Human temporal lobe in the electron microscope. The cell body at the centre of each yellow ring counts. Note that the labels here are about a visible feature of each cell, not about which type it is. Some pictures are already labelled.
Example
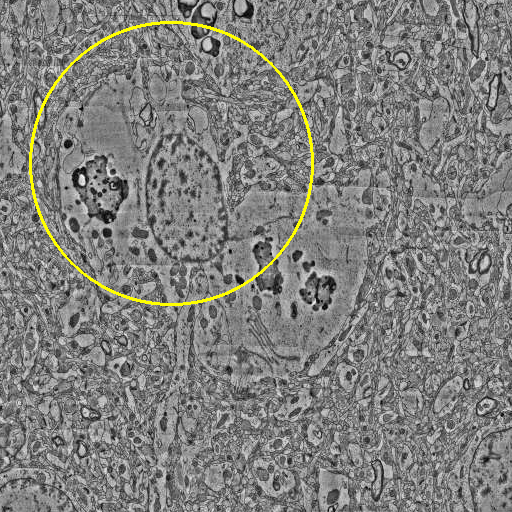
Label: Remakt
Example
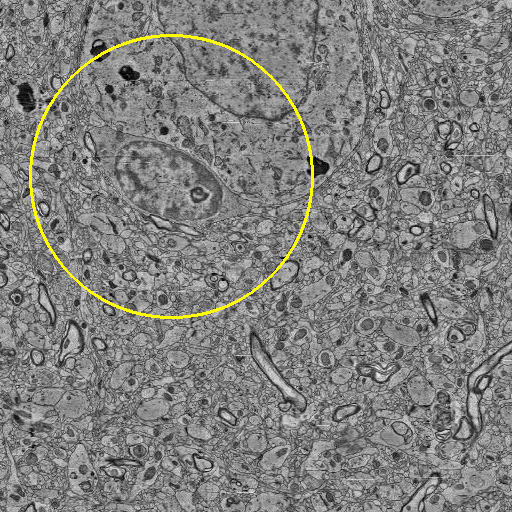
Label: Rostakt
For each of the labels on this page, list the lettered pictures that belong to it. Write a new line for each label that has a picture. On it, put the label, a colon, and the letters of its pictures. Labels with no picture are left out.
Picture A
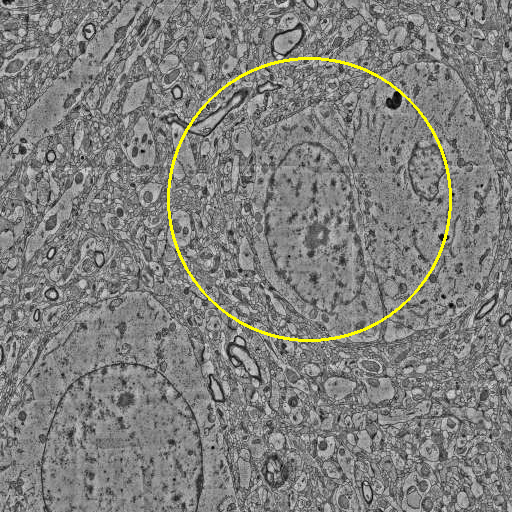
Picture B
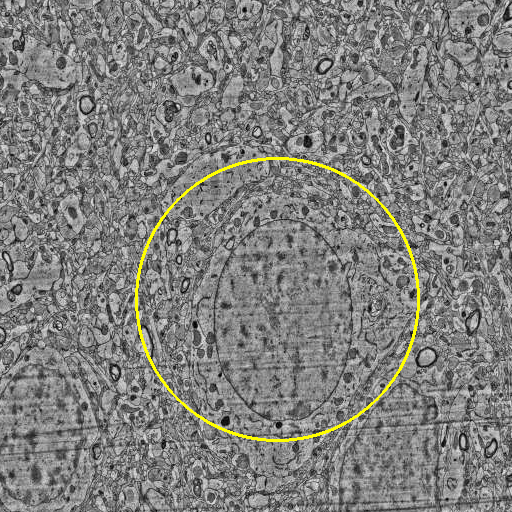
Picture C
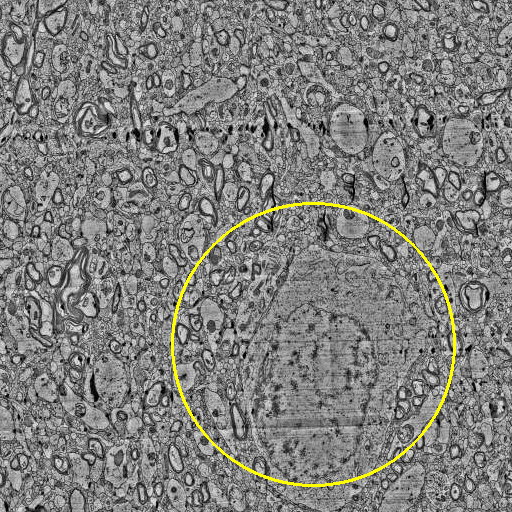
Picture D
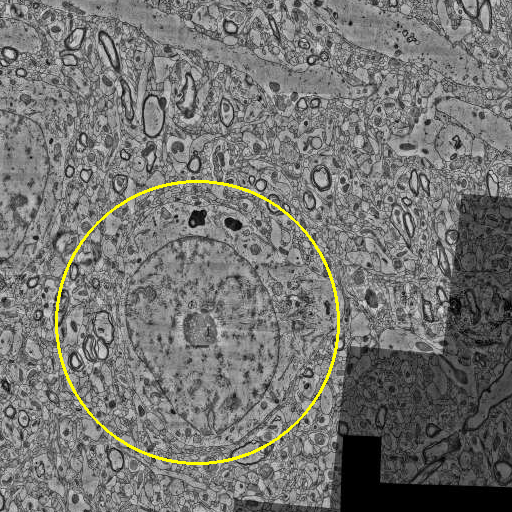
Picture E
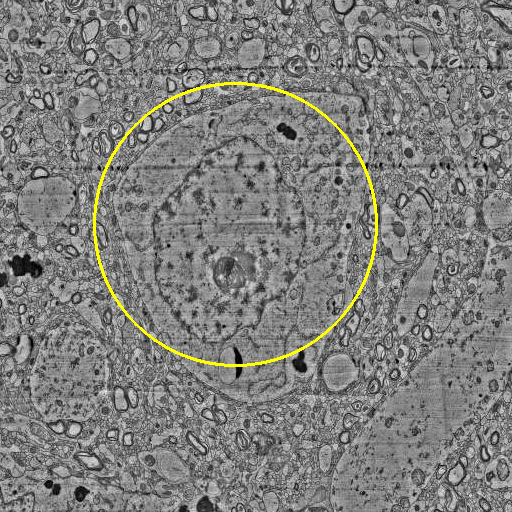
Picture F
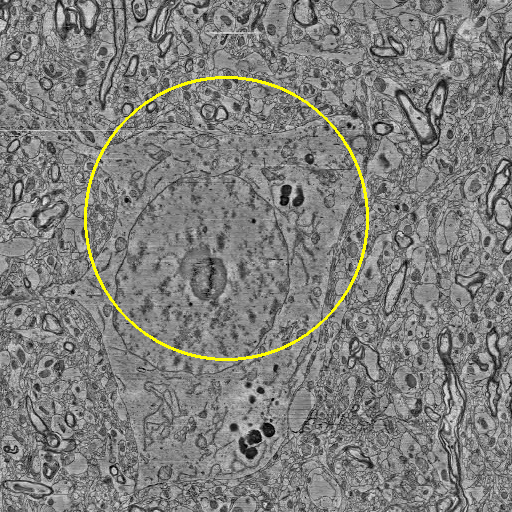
Remakt: B, C
Rostakt: A, D, E, F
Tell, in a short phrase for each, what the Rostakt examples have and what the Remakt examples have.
Rostakt, nucleolus seen; Remakt, no nucleolus seen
